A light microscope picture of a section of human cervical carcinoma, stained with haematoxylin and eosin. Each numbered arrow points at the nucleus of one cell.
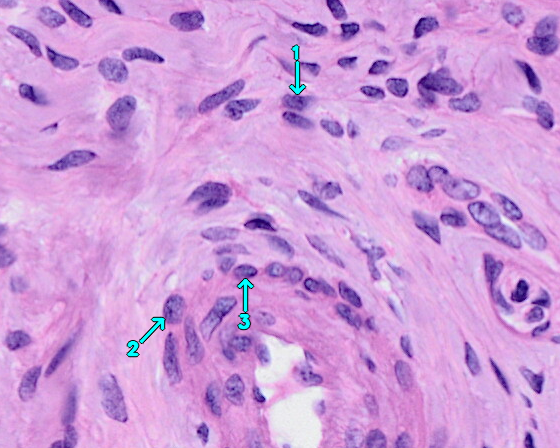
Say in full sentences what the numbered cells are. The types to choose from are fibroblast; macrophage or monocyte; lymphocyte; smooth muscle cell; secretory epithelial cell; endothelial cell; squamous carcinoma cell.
Cell 1 is a fibroblast, cell 2 is a smooth muscle cell and cell 3 is a smooth muscle cell.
